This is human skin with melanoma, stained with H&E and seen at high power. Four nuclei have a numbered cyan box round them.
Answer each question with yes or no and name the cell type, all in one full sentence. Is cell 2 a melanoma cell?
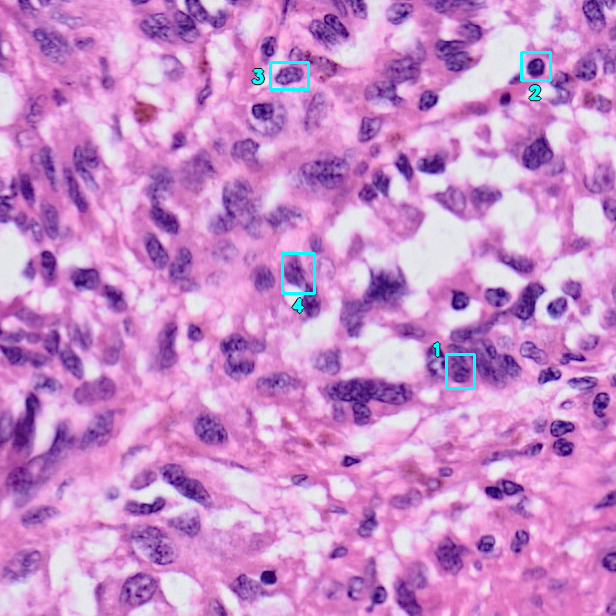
No, number 2 is not a melanoma cell but a lymphocyte.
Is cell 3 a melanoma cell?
No, cell 3 is identified not as a melanoma cell but as a lymphocyte.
